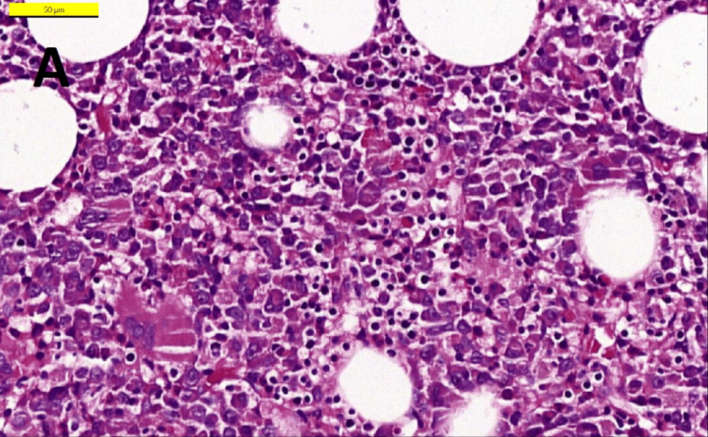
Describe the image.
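This bone marrow is packed with clusters of atypical plasma cells lying between large round empty fat spaces. The cells are crowded in sheets, with round, often off-centre purple nuclei and a rim of pink-purple cytoplasm, and small pink patches of red blood cells lie among them.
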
